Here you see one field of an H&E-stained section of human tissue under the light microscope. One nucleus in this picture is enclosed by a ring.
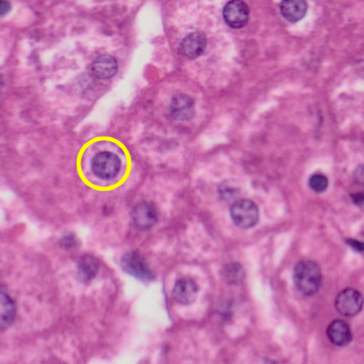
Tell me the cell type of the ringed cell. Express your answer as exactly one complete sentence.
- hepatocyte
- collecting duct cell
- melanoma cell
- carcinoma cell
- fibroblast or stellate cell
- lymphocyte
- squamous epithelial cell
At the level of cell identity, the ringed cell is a hepatocyte.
